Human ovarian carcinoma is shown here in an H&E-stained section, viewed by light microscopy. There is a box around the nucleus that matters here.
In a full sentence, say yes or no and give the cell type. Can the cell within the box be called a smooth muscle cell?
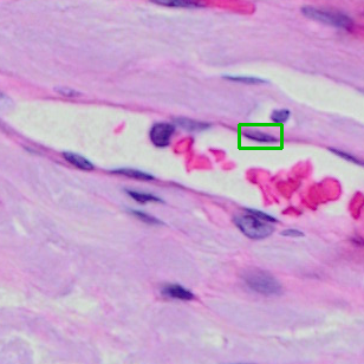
No, it is an endothelial cell rather than a smooth muscle cell that the cell within the box is.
